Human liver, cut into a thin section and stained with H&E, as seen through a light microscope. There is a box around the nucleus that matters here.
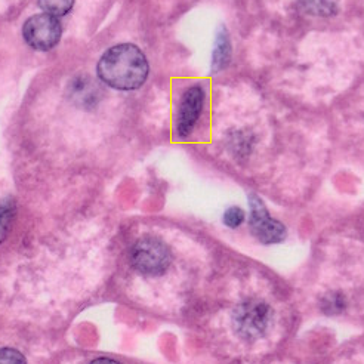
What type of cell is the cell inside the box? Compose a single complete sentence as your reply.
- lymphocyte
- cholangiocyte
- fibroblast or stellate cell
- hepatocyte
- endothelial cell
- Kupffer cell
Assigned to a cell type, the cell inside the box is a fibroblast or stellate cell.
